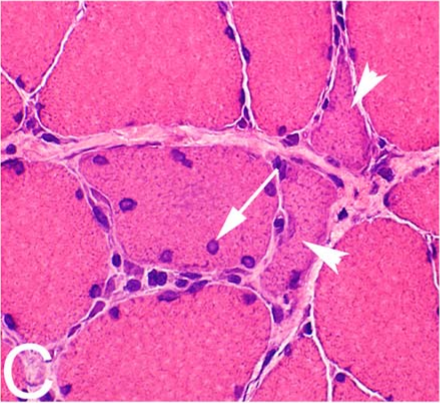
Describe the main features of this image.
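Skeletal muscle fibers in cross section, with small angular fibers and fibers bearing internal nuclei. Most fibers are large and polygonal with pink, finely granular cytoplasm. Between them lie some much smaller fibers with angular outlines, wedged among their larger neighbours. One fiber holds round purple nuclei in its interior rather than only at its edge. The connective tissue between fibers is widened in places, with pale strands and numerous small dark nuclei lying in it.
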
